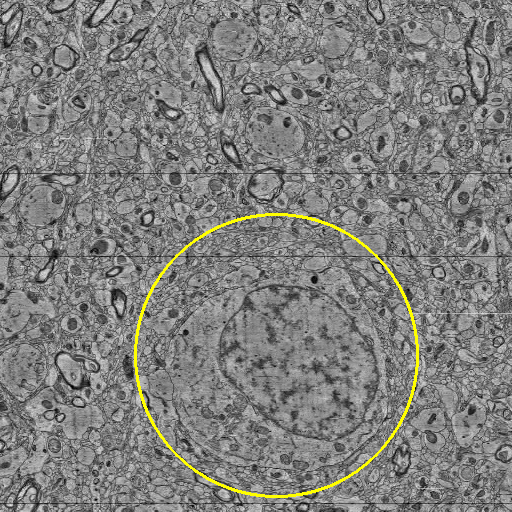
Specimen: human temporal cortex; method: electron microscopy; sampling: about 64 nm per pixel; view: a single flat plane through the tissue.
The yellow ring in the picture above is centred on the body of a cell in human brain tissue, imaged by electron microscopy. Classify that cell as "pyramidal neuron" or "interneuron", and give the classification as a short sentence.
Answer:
The cell in the middle of the ring is a pyramidal neuron.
